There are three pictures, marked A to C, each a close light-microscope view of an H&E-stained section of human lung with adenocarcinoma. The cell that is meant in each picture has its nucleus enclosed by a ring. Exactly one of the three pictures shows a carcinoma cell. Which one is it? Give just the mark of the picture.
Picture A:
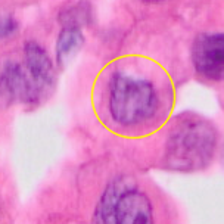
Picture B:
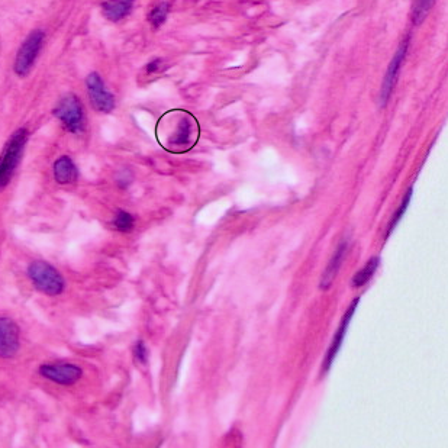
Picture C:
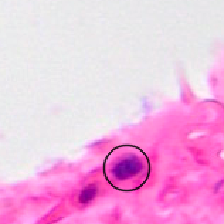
A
